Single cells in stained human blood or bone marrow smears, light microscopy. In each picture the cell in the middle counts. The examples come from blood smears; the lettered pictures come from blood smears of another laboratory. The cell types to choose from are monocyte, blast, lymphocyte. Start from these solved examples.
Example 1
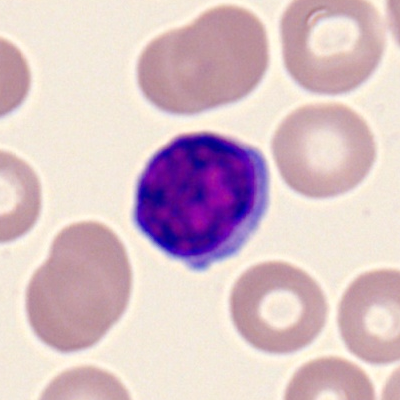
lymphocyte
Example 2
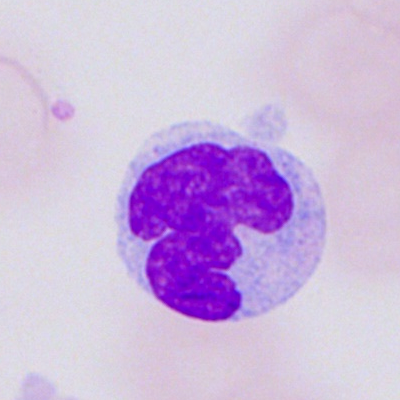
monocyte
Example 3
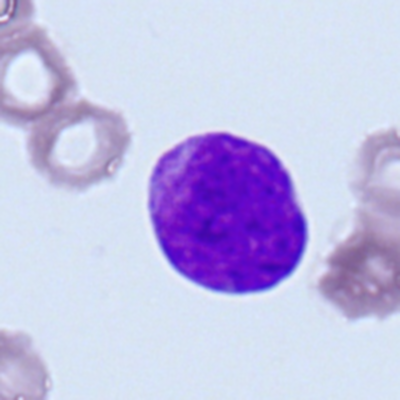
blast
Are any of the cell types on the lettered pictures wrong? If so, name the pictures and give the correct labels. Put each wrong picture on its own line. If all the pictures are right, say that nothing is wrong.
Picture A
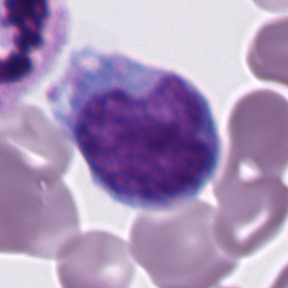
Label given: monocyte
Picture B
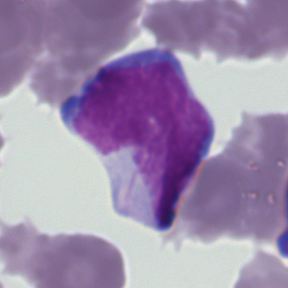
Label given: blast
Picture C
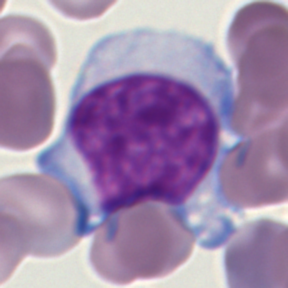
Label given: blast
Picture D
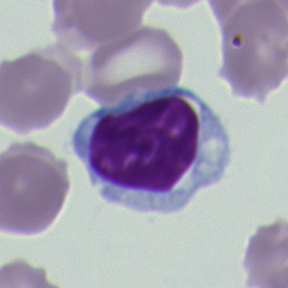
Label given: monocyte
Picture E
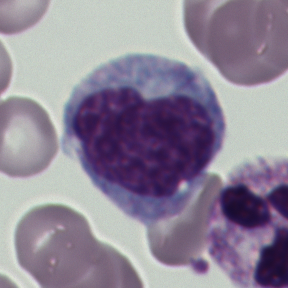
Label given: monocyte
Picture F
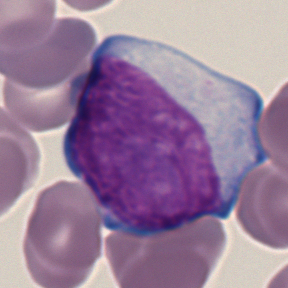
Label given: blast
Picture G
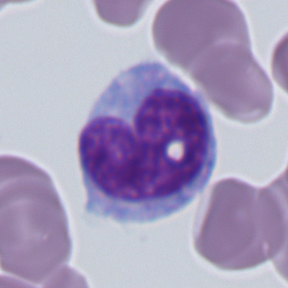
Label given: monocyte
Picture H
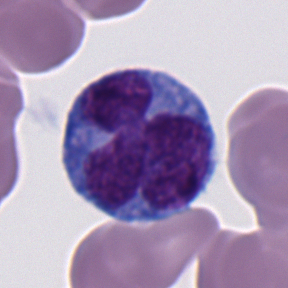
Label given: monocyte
D: change monocyte to lymphocyte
